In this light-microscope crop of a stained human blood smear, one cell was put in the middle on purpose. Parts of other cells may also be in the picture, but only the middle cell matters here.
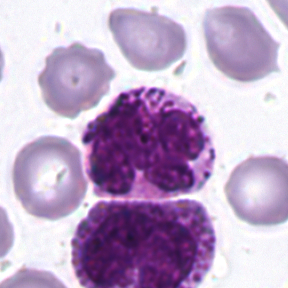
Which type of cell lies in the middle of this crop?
basophil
